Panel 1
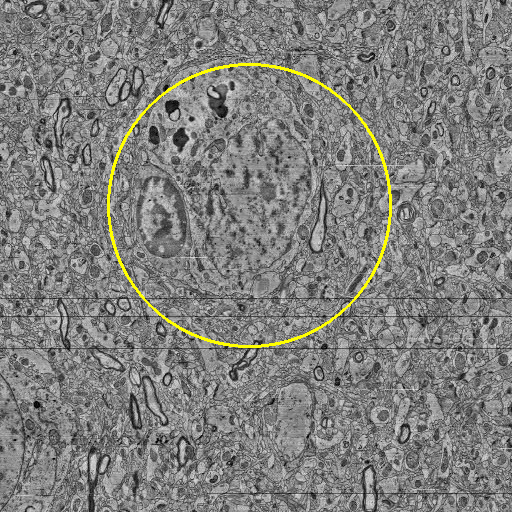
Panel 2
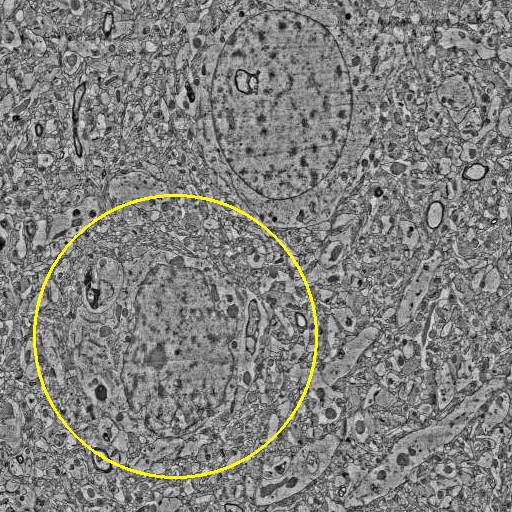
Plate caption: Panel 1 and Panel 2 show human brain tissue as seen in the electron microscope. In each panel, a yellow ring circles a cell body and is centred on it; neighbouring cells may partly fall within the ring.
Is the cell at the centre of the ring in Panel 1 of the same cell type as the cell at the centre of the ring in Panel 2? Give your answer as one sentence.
Yes, the two cells are of the same type.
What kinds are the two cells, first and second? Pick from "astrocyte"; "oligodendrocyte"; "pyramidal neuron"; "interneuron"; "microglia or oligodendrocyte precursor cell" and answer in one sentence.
Each of the ringed cells, first and second, is an interneuron.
